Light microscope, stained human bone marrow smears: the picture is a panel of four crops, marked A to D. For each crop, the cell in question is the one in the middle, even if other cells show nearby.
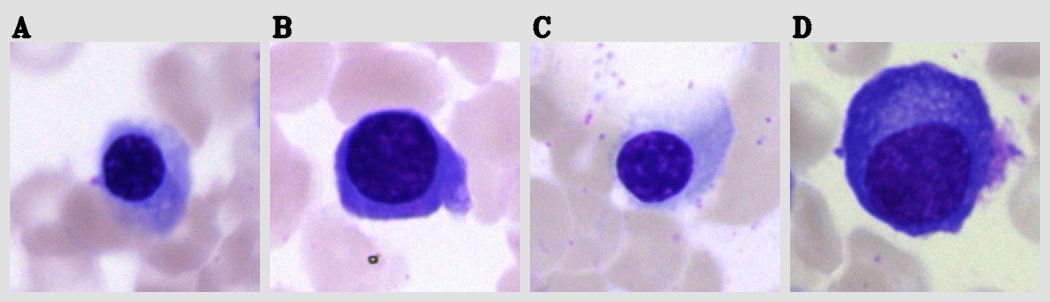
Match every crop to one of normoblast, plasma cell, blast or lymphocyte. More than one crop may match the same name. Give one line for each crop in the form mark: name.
A: normoblast
B: plasma cell
C: normoblast
D: plasma cell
